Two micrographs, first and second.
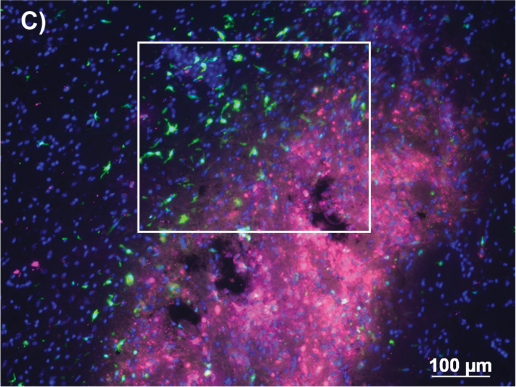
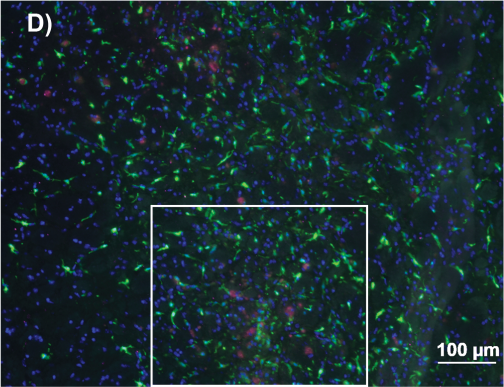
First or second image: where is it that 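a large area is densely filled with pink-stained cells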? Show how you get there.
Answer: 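Second image: green branched cells and blue nuclei spread across the field with only a few scattered reddish cells, no dense pink area. First image: a broad bright pink region with dark holes occupies the lower right of the field. The answer: the first image.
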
